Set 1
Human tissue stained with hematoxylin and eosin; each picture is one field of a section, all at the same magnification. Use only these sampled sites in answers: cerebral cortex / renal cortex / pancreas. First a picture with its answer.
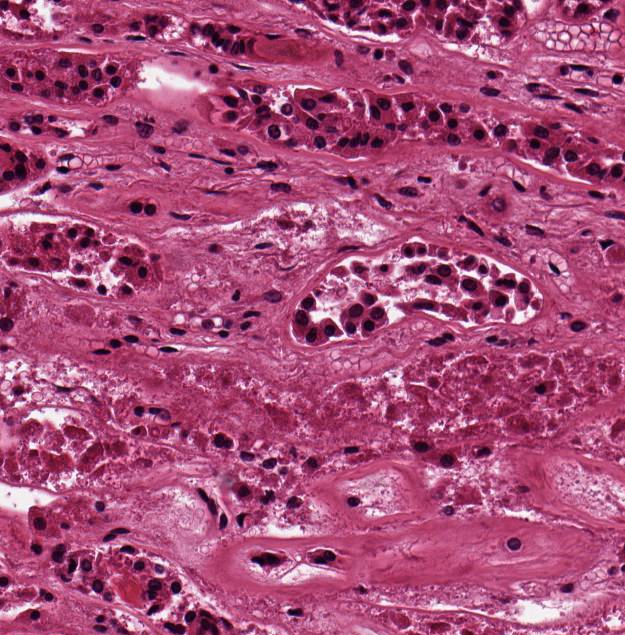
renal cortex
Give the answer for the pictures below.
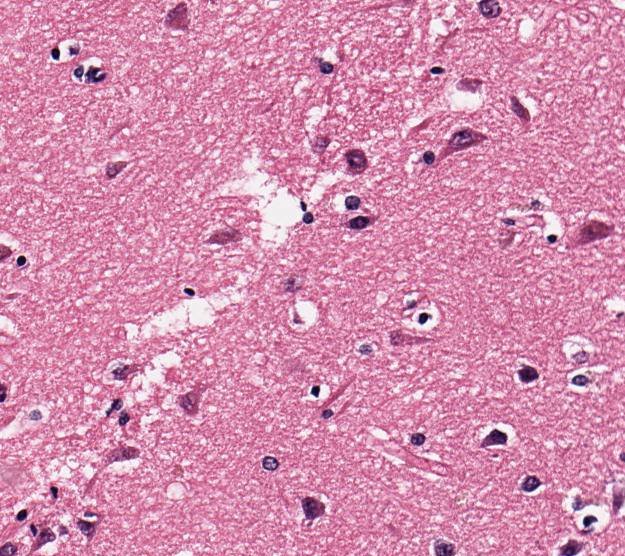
cerebral cortex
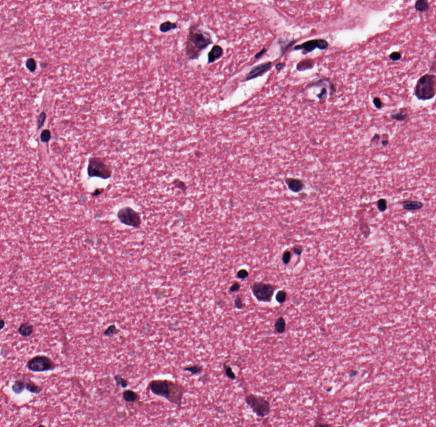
cerebral cortex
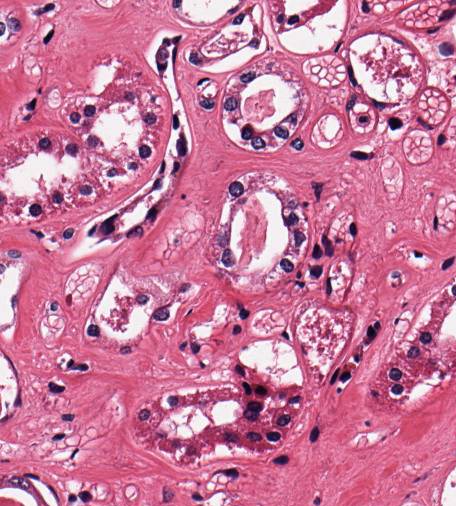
renal cortex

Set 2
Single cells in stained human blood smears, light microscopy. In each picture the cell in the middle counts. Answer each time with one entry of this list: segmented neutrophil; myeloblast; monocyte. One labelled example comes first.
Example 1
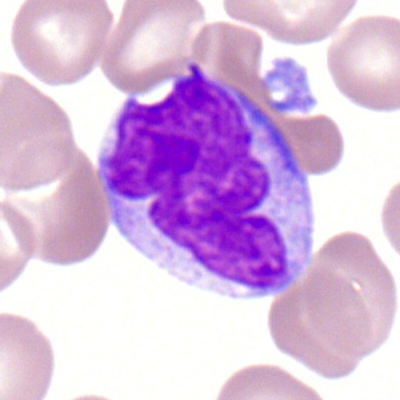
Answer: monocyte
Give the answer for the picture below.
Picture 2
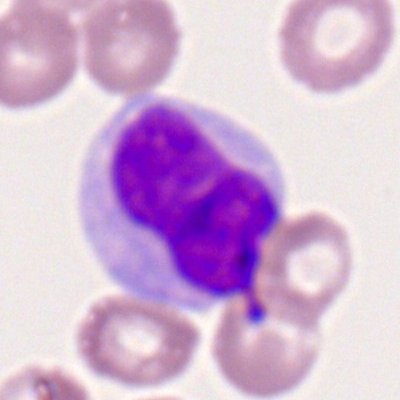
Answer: monocyte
